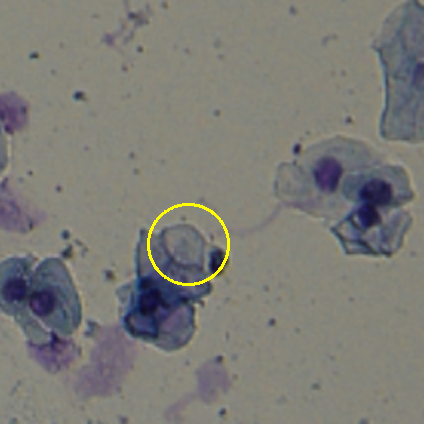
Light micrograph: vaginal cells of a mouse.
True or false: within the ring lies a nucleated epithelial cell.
False: a cornified epithelial cell lies within the ring.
